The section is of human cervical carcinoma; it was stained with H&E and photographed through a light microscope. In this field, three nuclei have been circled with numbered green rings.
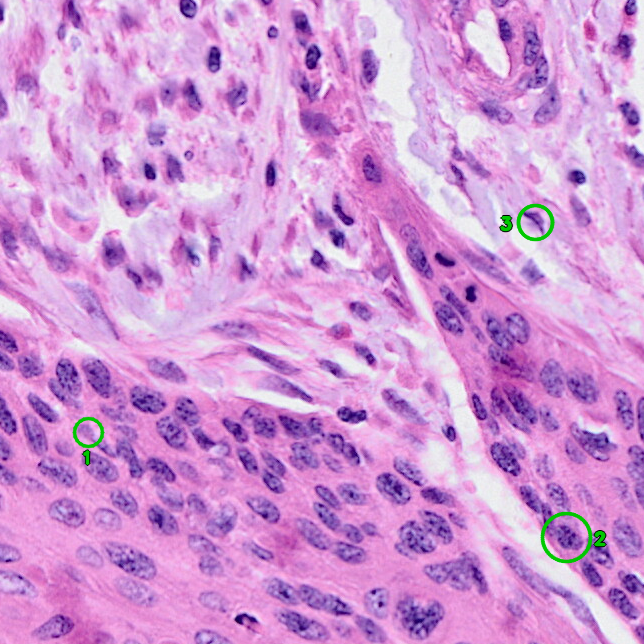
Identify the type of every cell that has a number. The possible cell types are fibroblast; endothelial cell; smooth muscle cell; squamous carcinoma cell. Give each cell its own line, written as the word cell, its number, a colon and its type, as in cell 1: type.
cell 1: squamous carcinoma cell
cell 2: squamous carcinoma cell
cell 3: fibroblast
